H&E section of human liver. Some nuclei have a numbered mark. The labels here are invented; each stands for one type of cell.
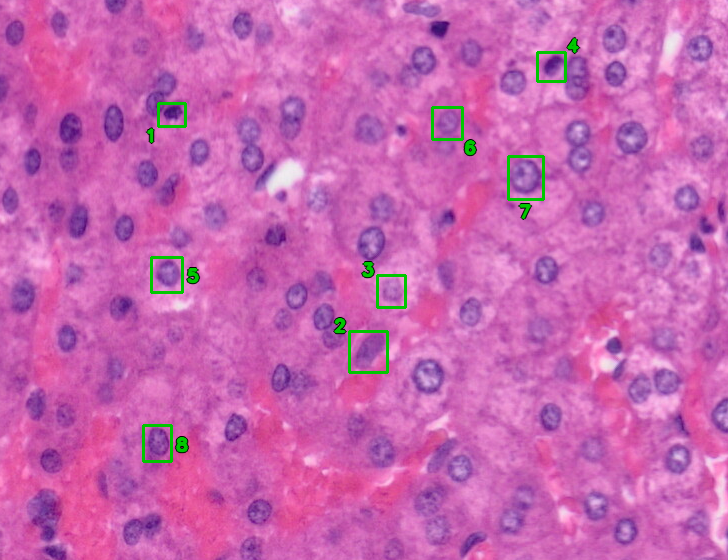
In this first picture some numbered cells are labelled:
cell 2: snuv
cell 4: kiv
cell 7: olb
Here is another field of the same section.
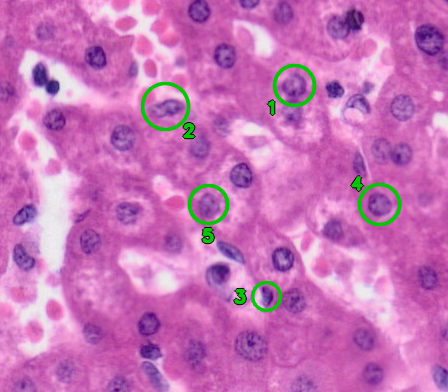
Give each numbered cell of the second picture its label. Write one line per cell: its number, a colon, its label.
1: olb
2: snuv
3: kiv
4: olb
5: olb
